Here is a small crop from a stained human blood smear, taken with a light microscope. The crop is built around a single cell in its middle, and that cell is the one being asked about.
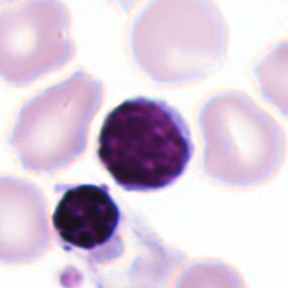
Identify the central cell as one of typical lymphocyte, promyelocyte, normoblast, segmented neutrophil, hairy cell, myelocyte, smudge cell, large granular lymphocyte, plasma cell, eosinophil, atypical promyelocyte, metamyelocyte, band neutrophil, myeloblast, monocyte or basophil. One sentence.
The cell featured at the centre of this crop is a normoblast.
